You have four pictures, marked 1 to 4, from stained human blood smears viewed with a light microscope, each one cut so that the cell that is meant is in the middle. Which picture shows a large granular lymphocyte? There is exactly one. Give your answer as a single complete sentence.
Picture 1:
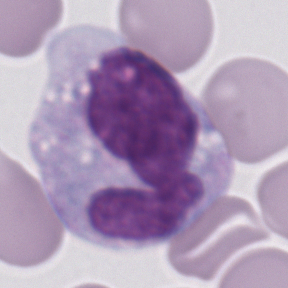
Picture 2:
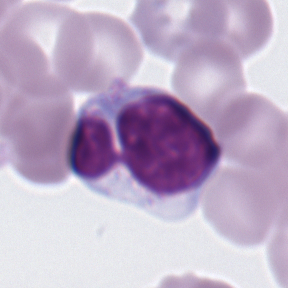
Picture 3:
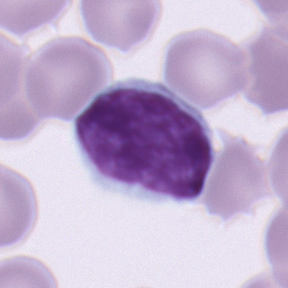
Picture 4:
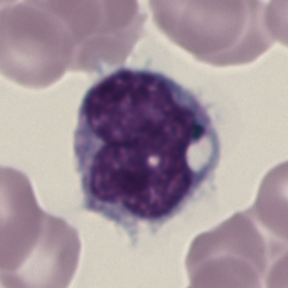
Picture 2 is the one that shows the large granular lymphocyte.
